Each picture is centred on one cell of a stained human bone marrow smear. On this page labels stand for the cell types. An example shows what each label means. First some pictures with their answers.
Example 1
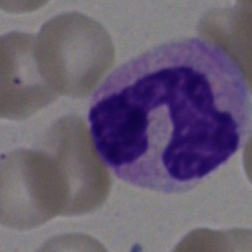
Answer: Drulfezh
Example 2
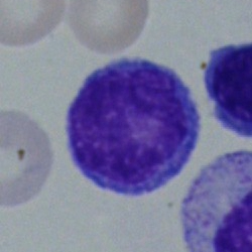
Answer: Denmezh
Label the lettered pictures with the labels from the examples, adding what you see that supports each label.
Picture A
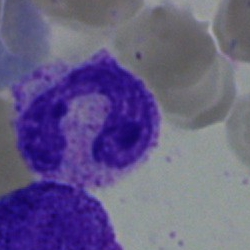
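Drulfezh. The chromatin is dark purple and coarsely clumped.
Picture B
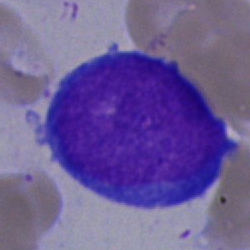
Denmezh. The nucleus fills almost the whole cell.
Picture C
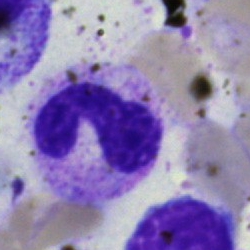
Drulfezh. The nucleus is a single unsegmented curved band shaped like a horseshoe.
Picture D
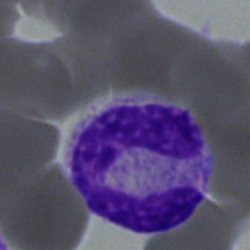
Drulfezh. The nucleus forms a thick curved band that wraps around a pale central zone.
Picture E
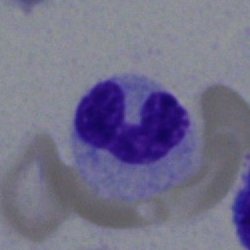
Drulfezh. The chromatin is dark purple and coarsely clumped.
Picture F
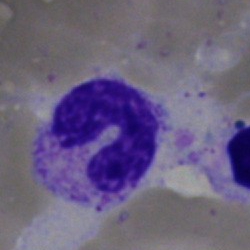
Drulfezh. The nucleus is a thick curved band bent into a C or horseshoe shape.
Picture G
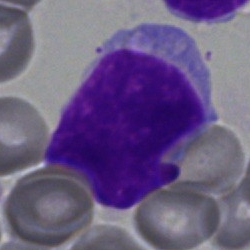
Denmezh. The nucleus fills most of the cell.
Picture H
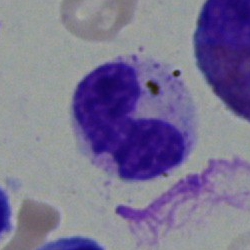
Drulfezh. The nucleus is deeply indented into a curved, horseshoe-like shape whose notch opens toward the upper right.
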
